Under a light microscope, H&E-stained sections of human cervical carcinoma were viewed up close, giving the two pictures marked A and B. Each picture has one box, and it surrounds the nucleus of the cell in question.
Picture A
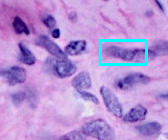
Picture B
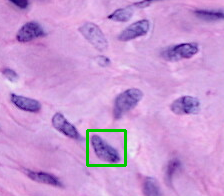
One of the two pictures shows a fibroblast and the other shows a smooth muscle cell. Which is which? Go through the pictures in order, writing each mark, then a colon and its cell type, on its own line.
A: smooth muscle cell
B: fibroblast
